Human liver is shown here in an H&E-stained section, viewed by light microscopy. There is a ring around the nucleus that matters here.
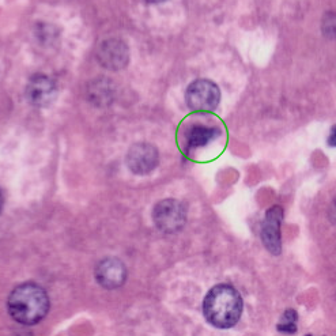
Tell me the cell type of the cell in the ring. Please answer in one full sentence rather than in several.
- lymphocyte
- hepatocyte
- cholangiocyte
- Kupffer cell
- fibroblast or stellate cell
At the level of cell identity, the cell in the ring is a fibroblast or stellate cell.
